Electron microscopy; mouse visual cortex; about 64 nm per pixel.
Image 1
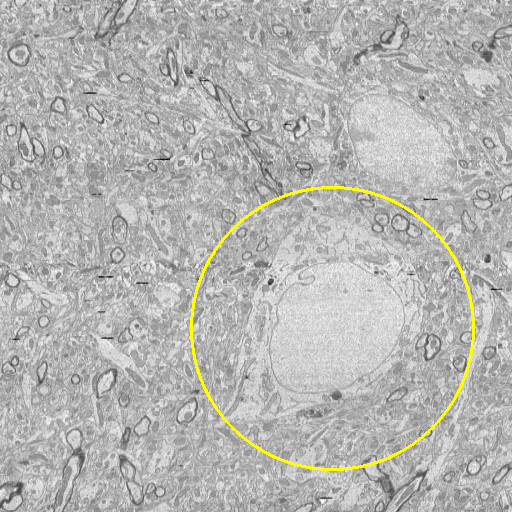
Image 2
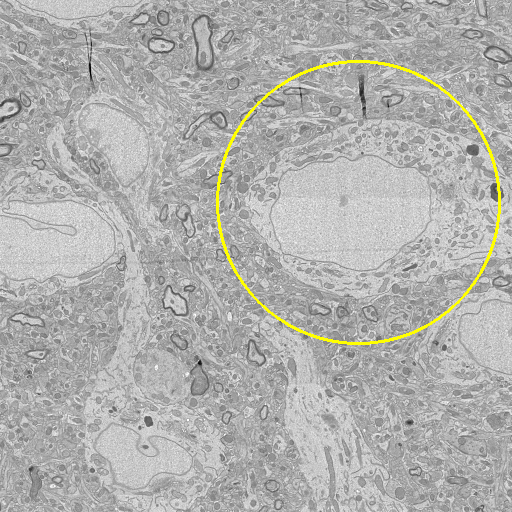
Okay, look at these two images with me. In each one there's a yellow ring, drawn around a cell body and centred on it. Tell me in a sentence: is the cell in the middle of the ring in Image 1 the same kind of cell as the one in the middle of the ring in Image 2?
Yes, they're the same kind of cell.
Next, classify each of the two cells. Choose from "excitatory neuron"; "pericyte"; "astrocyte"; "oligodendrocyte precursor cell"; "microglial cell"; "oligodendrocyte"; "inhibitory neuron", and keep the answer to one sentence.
In the first picture and in the second, the ring is centred on an excitatory neuron.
